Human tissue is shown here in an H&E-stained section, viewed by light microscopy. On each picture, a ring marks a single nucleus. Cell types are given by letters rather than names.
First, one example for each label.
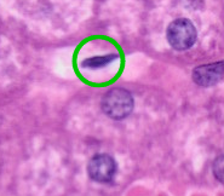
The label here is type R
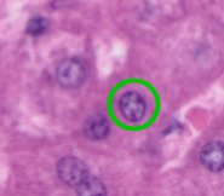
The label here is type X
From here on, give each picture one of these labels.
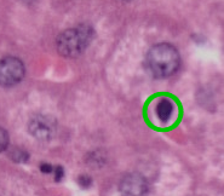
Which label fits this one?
type R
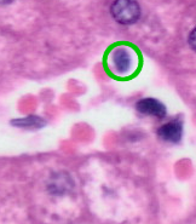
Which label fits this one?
type R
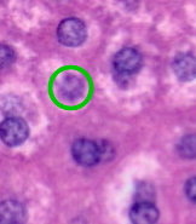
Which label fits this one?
type X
